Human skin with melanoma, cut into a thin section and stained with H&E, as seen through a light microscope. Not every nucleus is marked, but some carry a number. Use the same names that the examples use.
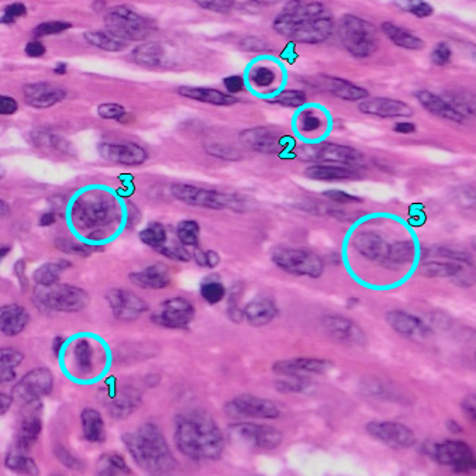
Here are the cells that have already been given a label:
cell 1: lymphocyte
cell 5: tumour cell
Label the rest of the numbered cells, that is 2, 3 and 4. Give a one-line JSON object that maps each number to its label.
{"2": "lymphocyte", "3": "tumour cell", "4": "lymphocyte"}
